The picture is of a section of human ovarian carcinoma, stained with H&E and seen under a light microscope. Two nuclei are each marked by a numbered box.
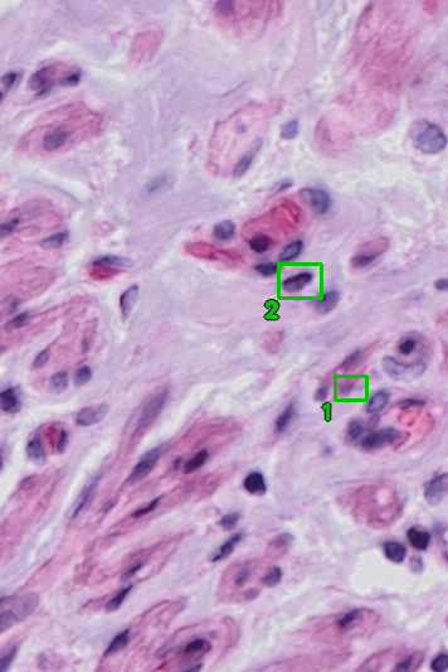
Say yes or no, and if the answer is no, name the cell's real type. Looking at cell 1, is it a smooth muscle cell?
Yes.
